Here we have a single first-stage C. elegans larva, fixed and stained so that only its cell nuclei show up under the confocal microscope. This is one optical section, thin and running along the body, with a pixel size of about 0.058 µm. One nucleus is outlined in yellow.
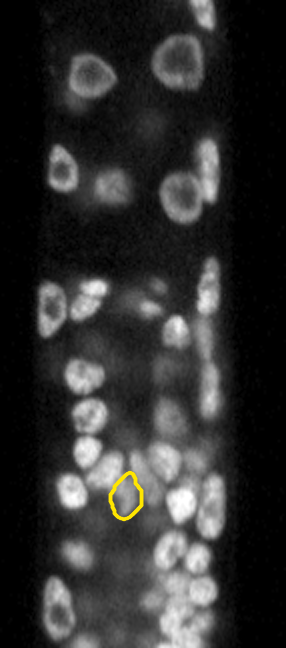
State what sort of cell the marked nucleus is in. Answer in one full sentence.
It belongs to a pharyngeal marginal cell.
